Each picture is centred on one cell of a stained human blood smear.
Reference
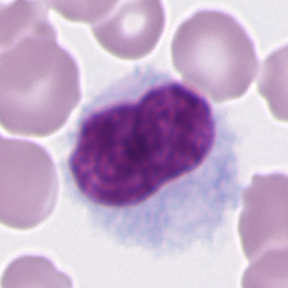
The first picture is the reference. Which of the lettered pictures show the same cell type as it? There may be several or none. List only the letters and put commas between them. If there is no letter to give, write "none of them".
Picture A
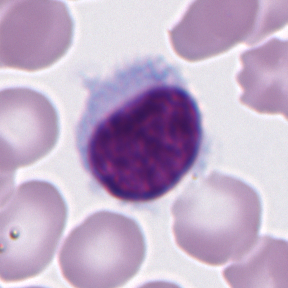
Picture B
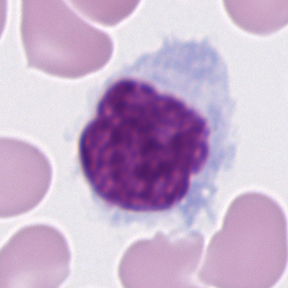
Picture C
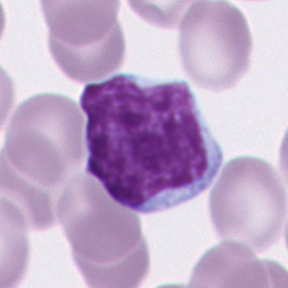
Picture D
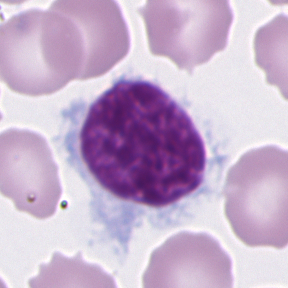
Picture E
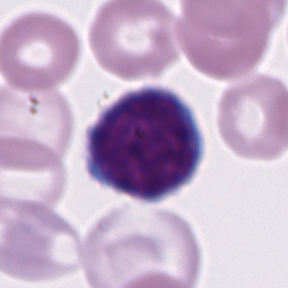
A, B, D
